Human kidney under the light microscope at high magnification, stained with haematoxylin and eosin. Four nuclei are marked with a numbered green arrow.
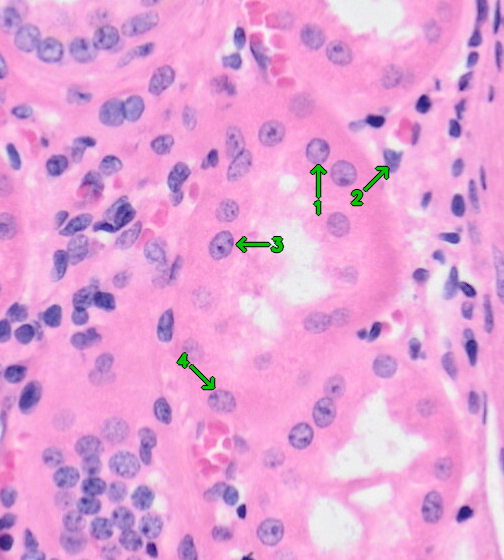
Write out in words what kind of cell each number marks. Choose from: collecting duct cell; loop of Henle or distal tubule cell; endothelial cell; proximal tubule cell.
Cell 1 is a proximal tubule cell, cell 2 is an endothelial cell, cell 3 is a proximal tubule cell and cell 4 is a proximal tubule cell.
